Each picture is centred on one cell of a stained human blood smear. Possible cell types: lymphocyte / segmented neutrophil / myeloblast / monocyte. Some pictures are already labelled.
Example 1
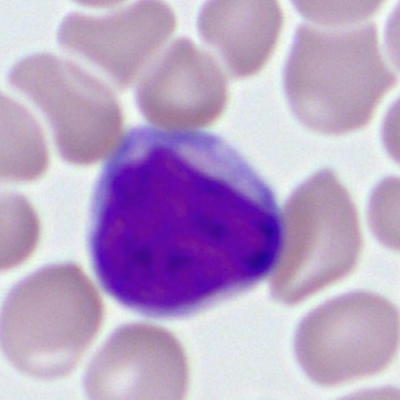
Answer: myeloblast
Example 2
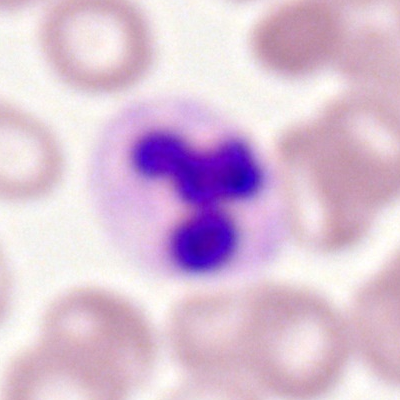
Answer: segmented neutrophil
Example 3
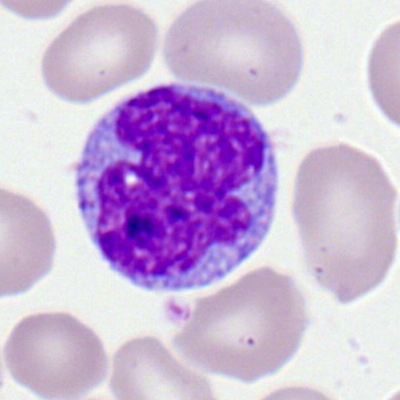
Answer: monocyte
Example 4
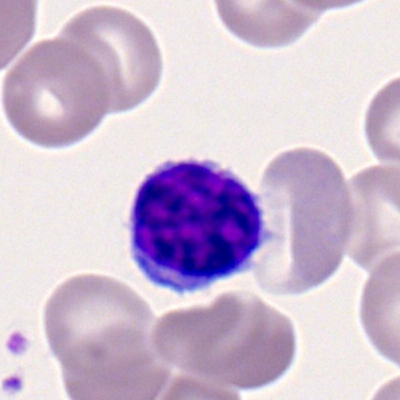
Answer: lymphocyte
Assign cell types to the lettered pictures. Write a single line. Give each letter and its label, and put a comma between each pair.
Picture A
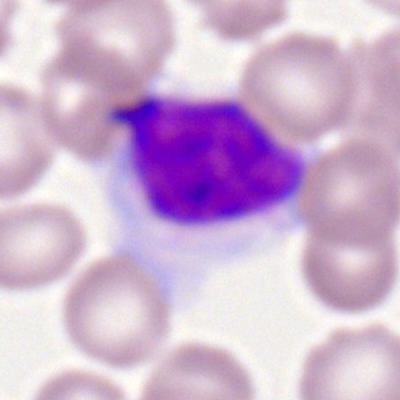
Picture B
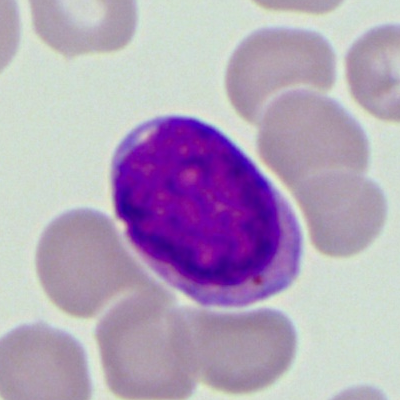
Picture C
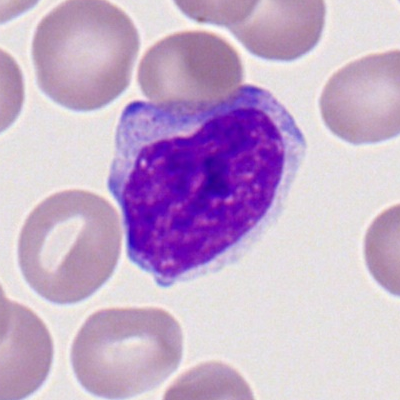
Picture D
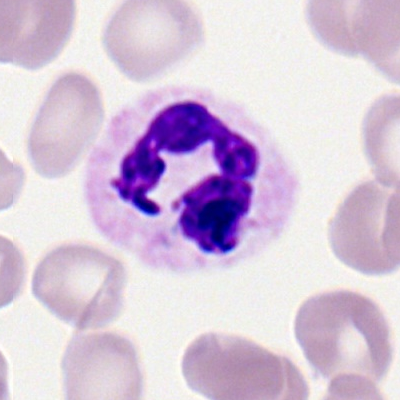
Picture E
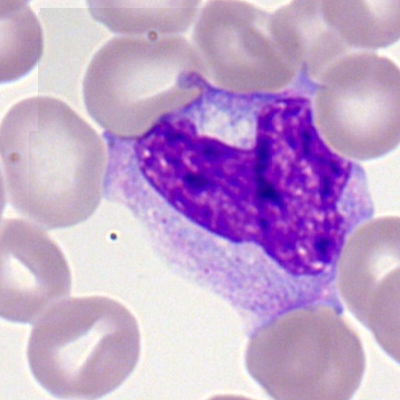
A lymphocyte, B myeloblast, C lymphocyte, D segmented neutrophil, E monocyte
